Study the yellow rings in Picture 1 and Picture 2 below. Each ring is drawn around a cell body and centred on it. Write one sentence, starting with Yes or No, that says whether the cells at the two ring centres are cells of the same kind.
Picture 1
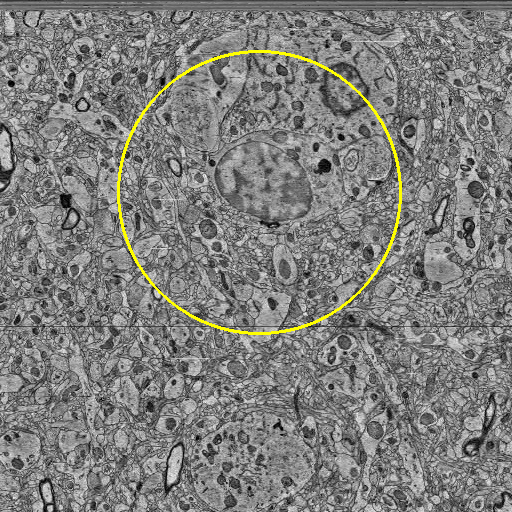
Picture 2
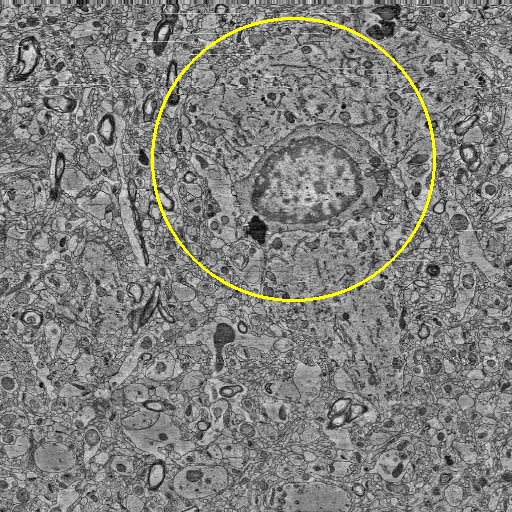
Yes, the cells at both ring centres are of the same kind.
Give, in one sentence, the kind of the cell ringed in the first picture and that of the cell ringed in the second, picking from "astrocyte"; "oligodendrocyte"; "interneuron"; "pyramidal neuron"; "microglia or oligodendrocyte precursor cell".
In both pictures the ring is centred on an oligodendrocyte.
